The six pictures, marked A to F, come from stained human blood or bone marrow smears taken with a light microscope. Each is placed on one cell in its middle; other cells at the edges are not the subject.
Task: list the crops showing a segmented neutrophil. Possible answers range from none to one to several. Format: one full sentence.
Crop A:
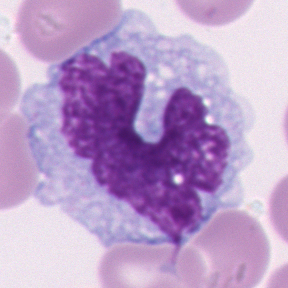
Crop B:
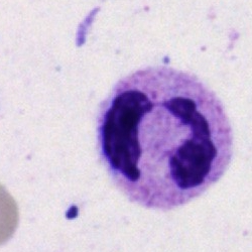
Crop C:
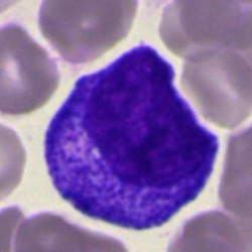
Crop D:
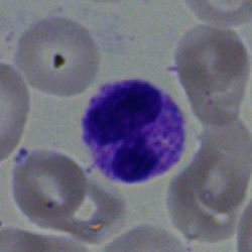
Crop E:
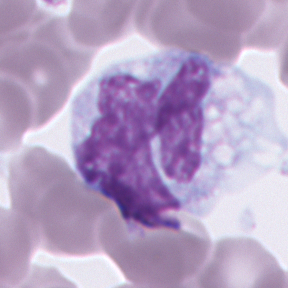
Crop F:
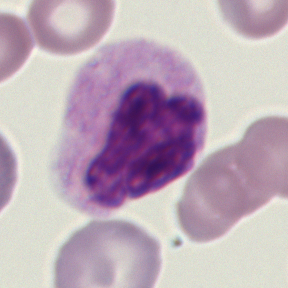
The cells sitting in the middle of crops B, D and F are segmented neutrophils.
